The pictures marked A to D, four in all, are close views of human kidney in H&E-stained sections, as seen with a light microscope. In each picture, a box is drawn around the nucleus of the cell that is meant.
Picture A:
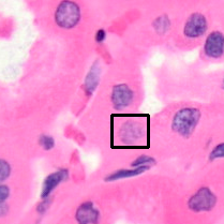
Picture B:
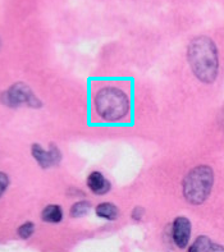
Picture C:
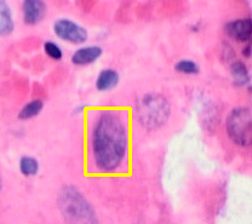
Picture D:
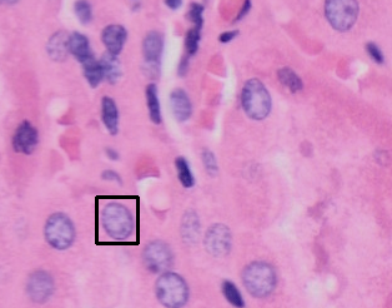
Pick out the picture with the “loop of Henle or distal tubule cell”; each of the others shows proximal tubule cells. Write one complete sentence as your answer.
Picture A shows the “loop of Henle or distal tubule cell”.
